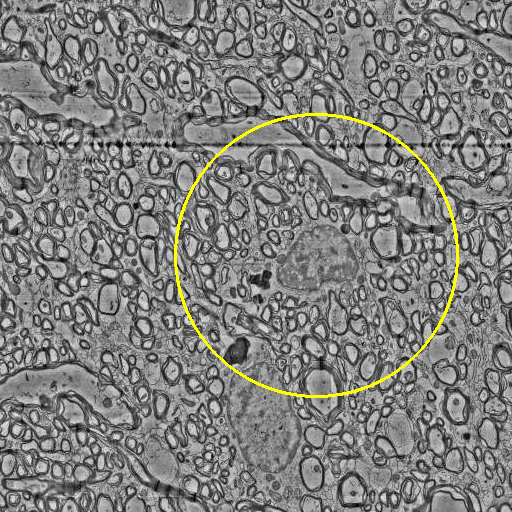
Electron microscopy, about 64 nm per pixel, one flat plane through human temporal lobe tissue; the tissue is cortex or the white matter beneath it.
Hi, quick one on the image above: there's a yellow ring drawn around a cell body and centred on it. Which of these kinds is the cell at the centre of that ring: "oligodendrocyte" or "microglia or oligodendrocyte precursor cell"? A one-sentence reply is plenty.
The cell at the centre of the ring is an oligodendrocyte.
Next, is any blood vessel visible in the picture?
No, none is visible.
